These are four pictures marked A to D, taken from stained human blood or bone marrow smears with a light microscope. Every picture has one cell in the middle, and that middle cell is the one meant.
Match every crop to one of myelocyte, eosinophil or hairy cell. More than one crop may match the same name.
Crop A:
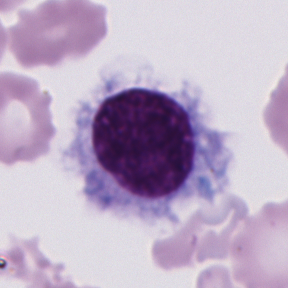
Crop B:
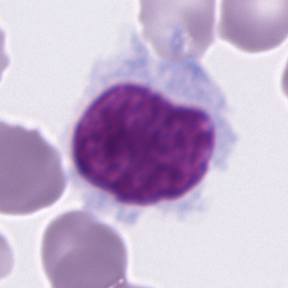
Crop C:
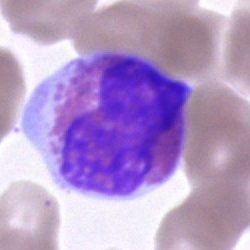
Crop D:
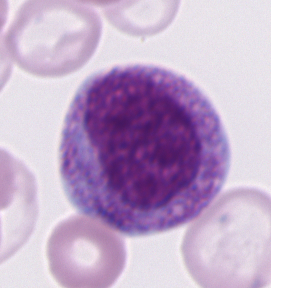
A: hairy cell
B: hairy cell
C: eosinophil
D: myelocyte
